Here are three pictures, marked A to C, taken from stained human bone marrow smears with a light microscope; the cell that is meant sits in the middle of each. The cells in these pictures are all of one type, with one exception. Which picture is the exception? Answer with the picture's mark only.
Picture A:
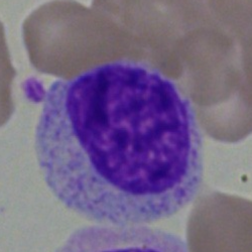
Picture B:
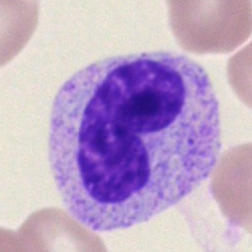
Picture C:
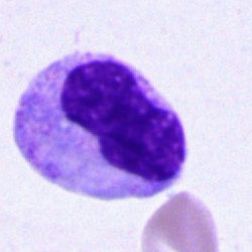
A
